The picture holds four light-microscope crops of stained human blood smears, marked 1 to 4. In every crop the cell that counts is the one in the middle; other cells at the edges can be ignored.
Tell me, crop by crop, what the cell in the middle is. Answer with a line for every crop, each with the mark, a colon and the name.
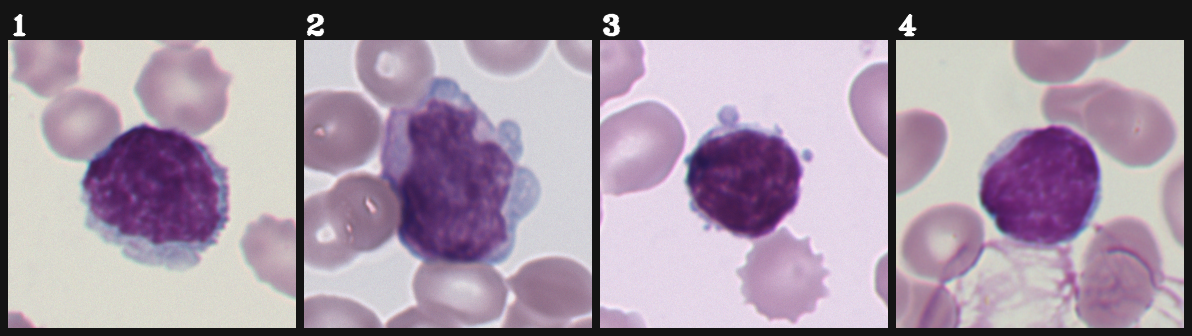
1: typical lymphocyte
2: atypical promyelocyte
3: typical lymphocyte
4: typical lymphocyte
